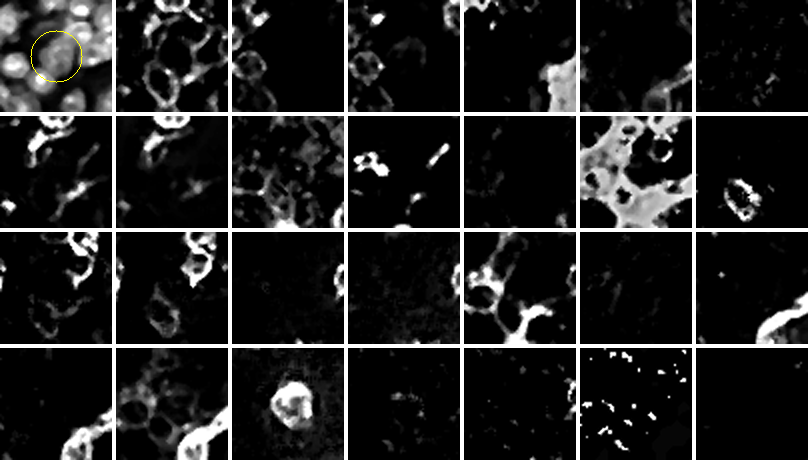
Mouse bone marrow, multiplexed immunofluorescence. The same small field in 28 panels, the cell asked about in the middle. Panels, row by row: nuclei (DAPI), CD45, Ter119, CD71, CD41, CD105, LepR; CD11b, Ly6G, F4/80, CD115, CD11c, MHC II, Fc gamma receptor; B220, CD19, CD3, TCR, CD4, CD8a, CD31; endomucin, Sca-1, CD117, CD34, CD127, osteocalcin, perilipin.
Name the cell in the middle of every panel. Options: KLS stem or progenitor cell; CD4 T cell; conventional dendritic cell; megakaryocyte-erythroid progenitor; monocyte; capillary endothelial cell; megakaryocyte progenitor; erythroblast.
megakaryocyte-erythroid progenitor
